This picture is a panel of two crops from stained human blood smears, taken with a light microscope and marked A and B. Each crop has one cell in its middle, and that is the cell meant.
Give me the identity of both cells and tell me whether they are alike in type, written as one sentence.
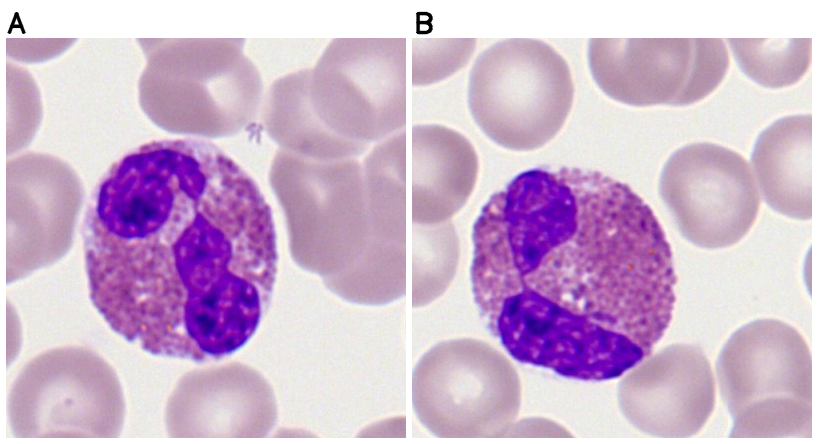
Yes, for both crops, the central cells are eosinophils.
